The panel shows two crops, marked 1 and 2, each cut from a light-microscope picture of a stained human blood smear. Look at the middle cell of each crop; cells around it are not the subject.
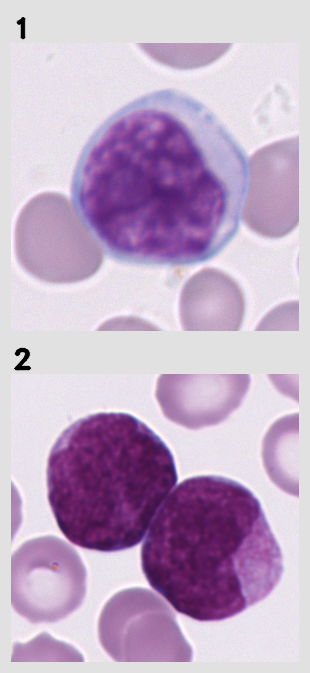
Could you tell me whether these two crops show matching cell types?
yes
